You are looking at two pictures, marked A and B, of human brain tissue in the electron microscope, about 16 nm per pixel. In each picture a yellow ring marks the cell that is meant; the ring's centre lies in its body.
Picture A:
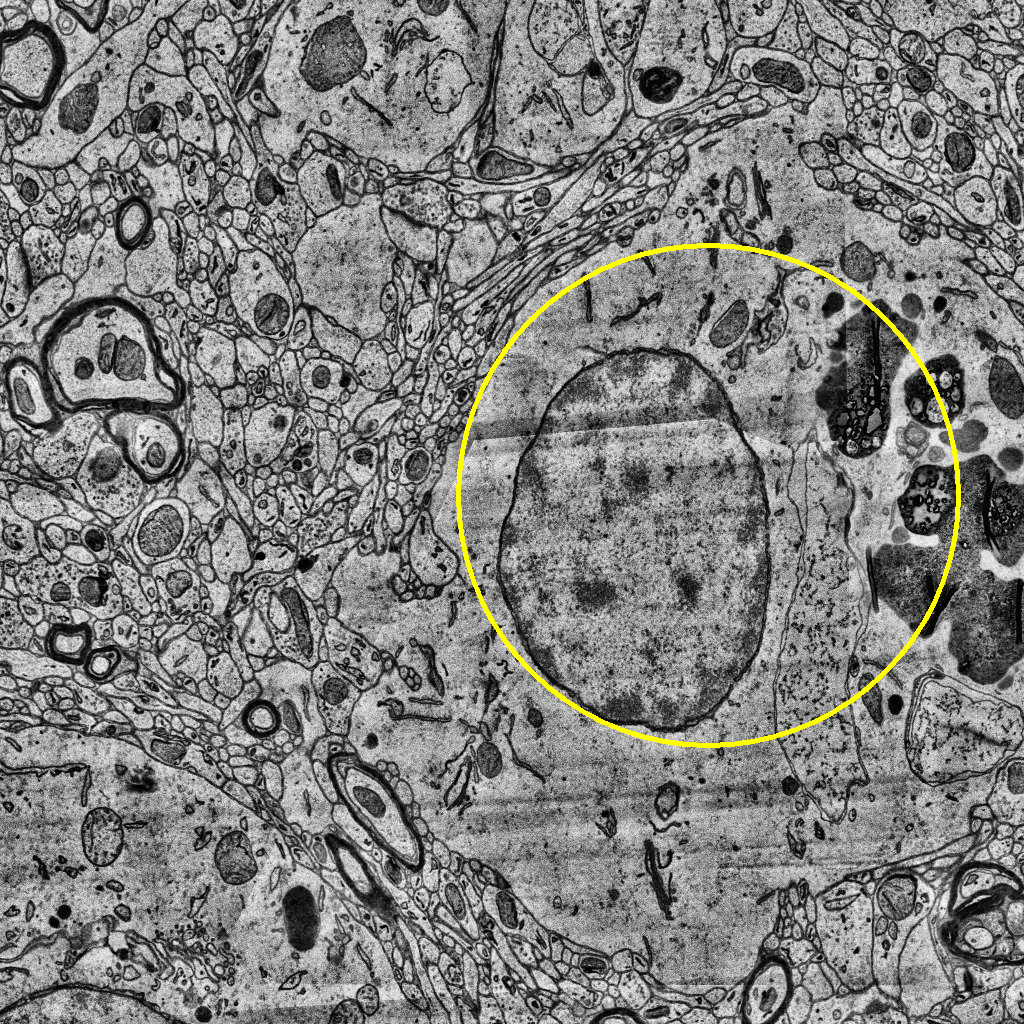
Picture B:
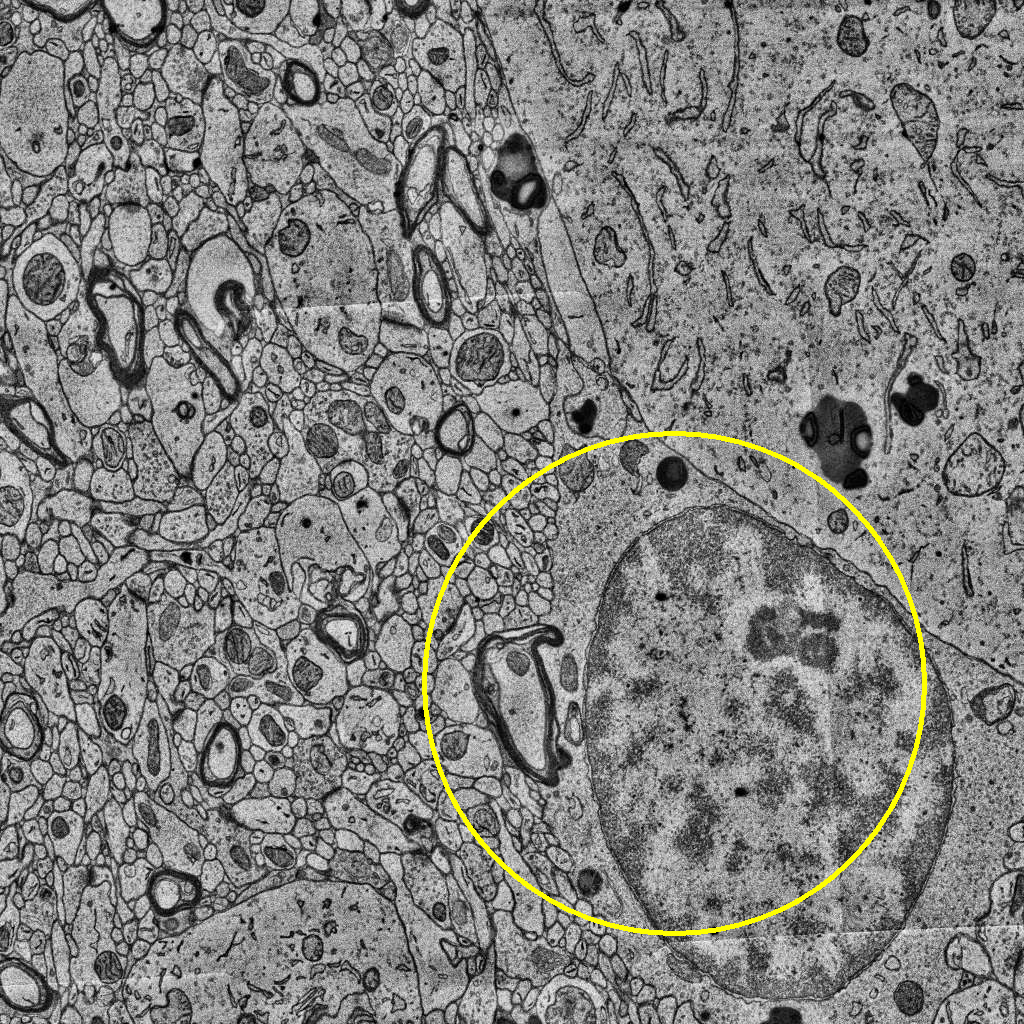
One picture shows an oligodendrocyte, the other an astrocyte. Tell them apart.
Picture A is of an astrocyte, and picture B is of an oligodendrocyte.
